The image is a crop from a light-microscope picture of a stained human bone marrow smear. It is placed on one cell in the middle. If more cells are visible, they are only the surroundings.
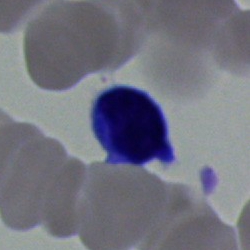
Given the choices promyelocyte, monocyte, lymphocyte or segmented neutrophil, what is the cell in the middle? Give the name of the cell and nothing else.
lymphocyte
